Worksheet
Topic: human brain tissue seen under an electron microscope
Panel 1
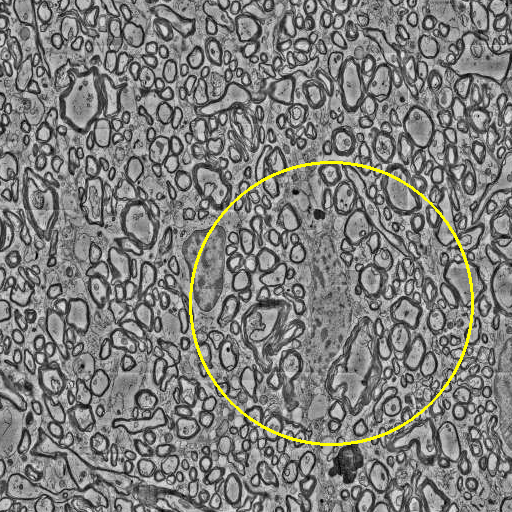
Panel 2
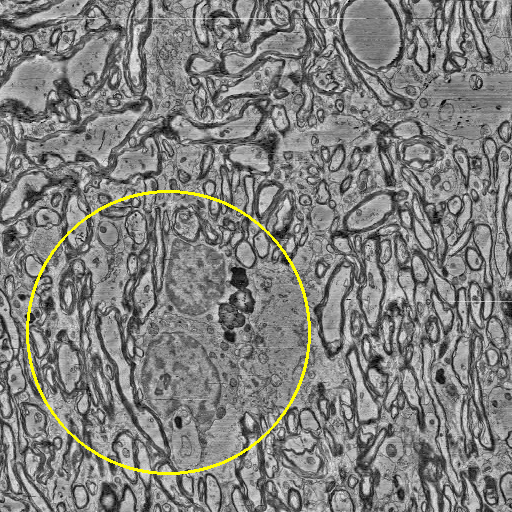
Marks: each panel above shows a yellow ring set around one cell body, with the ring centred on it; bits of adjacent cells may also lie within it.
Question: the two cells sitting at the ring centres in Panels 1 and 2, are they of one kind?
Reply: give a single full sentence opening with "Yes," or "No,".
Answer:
No, the two ring-centre cells in Panel 1 and Panel 2 are of two kinds.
